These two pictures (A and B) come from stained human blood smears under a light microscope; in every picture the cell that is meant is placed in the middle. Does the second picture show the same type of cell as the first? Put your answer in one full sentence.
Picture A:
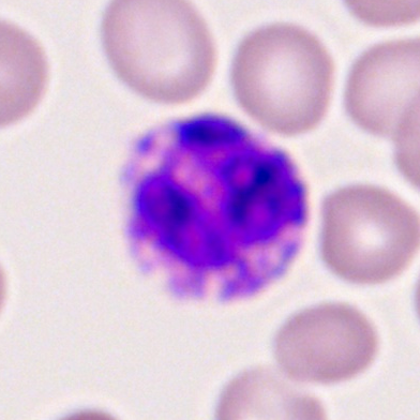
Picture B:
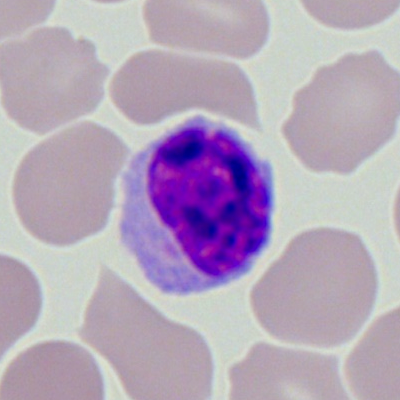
No. Picture A shows a basophil, but picture B shows a lymphocyte.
